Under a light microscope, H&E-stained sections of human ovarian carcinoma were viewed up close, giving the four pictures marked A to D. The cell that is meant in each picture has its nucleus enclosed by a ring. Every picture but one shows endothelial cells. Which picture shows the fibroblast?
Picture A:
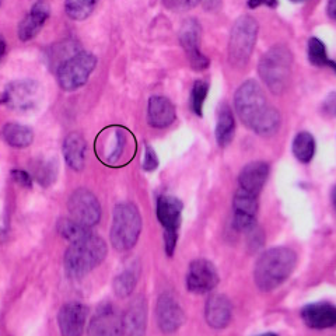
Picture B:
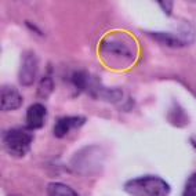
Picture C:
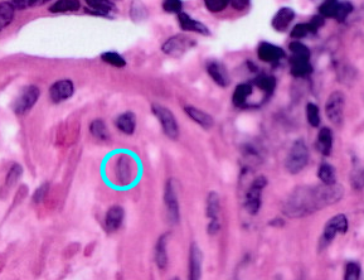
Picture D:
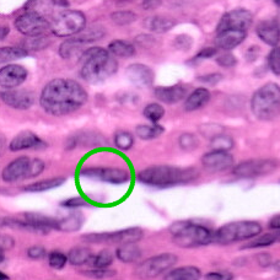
C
